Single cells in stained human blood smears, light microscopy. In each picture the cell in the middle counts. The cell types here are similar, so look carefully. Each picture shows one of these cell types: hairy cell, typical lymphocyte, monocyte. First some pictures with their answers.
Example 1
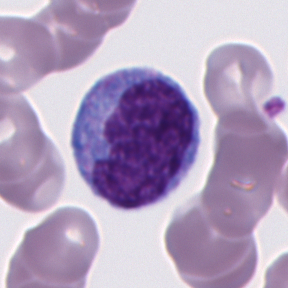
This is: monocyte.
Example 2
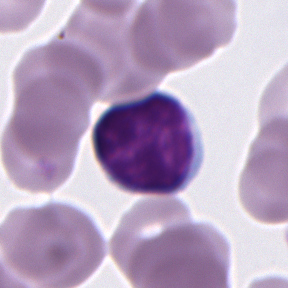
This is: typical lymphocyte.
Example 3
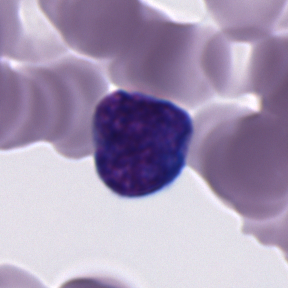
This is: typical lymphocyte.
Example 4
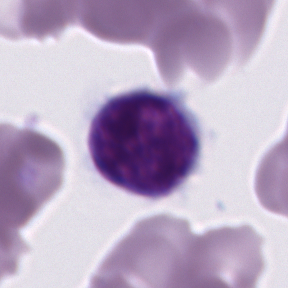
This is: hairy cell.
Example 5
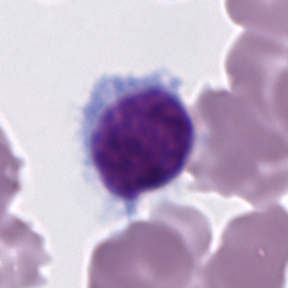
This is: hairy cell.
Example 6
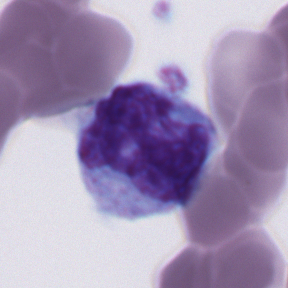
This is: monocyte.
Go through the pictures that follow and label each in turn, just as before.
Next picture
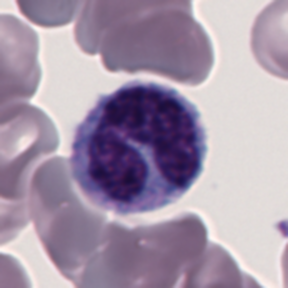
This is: monocyte.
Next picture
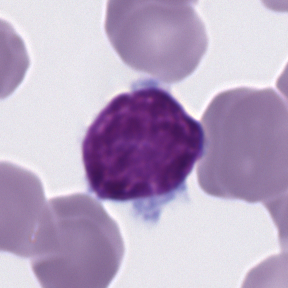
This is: hairy cell.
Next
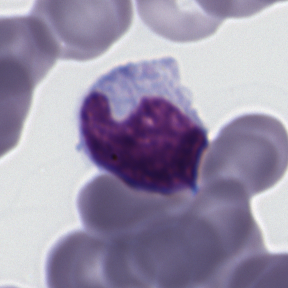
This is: typical lymphocyte.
